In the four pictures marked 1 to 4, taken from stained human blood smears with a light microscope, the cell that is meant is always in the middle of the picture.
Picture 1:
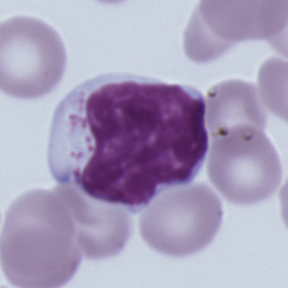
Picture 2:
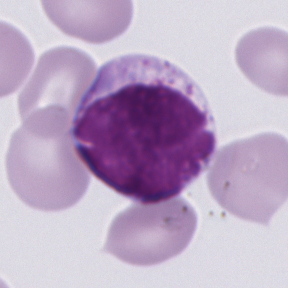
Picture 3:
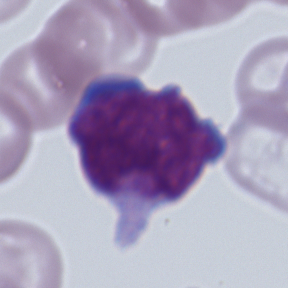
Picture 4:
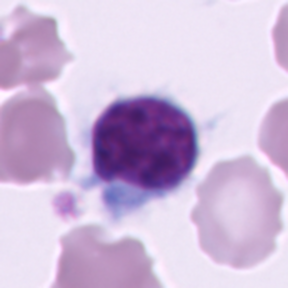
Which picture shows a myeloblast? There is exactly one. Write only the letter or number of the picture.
3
